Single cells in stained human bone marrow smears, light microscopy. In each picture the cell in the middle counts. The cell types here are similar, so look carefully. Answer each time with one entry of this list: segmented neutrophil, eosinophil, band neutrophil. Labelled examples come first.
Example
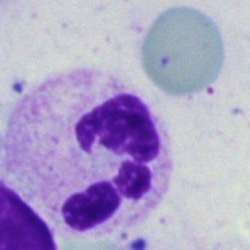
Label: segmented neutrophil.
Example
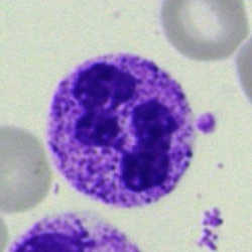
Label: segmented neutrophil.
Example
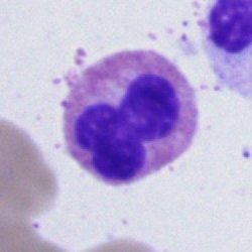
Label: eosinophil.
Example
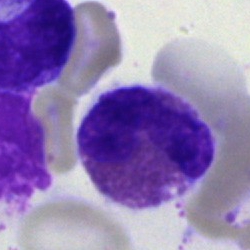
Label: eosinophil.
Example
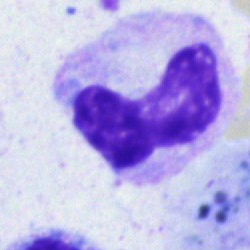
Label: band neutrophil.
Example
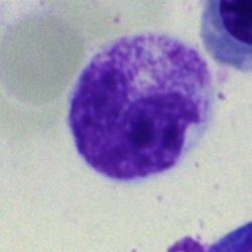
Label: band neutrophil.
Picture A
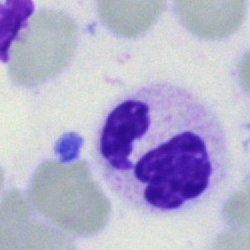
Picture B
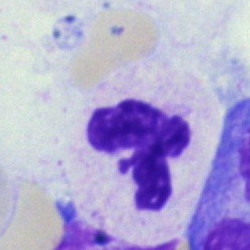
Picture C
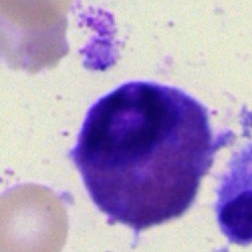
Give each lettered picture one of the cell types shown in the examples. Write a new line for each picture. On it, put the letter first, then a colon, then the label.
A: segmented neutrophil.
B: segmented neutrophil.
C: eosinophil.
